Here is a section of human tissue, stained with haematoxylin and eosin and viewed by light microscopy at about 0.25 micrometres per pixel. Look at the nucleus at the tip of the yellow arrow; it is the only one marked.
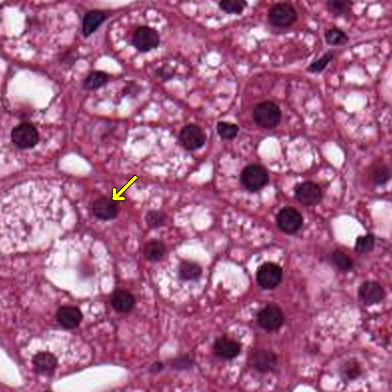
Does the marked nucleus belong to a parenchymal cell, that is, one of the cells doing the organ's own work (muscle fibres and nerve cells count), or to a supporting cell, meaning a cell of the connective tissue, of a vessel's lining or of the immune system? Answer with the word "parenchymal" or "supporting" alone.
parenchymal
